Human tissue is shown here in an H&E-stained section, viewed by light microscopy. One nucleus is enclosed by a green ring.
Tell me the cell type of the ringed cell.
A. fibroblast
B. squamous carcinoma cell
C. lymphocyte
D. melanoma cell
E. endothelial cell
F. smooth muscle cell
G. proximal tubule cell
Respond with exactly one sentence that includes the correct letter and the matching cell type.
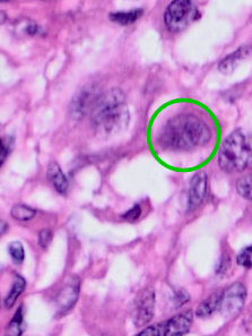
Option D gives the correct identity of the ringed cell, which is a melanoma cell.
